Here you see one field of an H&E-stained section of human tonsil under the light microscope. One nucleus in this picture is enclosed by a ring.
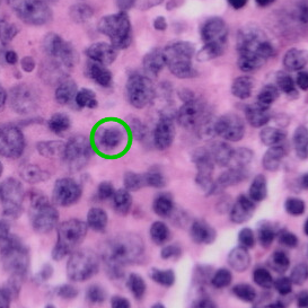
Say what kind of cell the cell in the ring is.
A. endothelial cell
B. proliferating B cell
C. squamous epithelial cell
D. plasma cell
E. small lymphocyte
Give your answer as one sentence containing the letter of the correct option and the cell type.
The proper choice here is B: the cell in the ring is a proliferating B cell.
